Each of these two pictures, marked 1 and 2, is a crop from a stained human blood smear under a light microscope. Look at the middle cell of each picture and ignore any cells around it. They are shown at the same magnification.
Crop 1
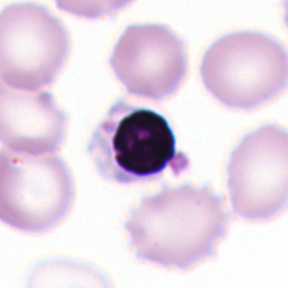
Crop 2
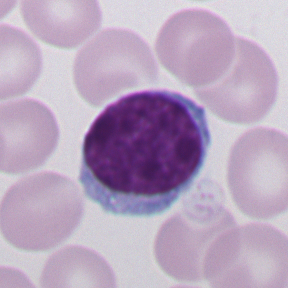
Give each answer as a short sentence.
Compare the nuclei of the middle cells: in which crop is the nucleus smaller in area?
Smaller is the nucleus in crop 1, and the other is about 3 times as large in area.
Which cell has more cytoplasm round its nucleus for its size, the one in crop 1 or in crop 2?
In crop 1 the nucleus takes up the smaller part of its cell.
